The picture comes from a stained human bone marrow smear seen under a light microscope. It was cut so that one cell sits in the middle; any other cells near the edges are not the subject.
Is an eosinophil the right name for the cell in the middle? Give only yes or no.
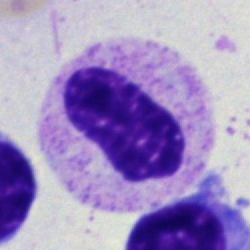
no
